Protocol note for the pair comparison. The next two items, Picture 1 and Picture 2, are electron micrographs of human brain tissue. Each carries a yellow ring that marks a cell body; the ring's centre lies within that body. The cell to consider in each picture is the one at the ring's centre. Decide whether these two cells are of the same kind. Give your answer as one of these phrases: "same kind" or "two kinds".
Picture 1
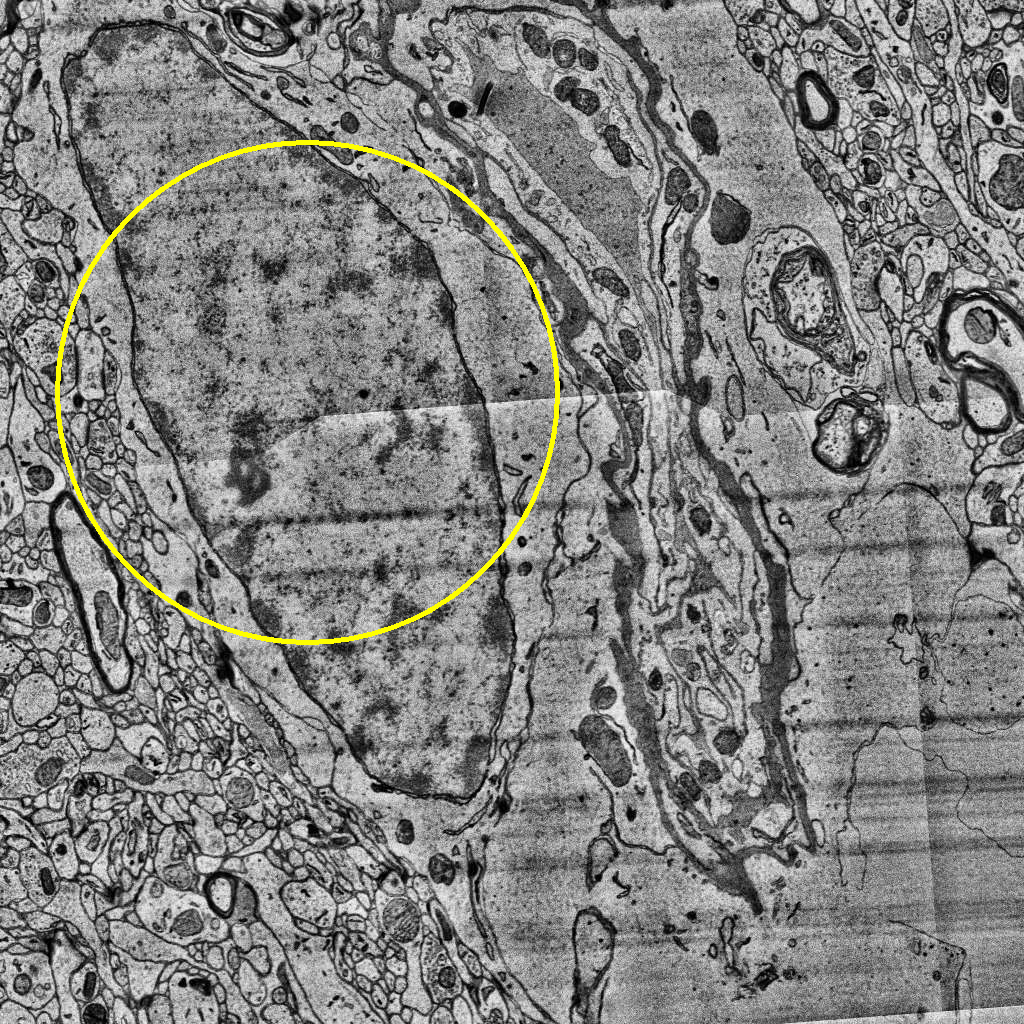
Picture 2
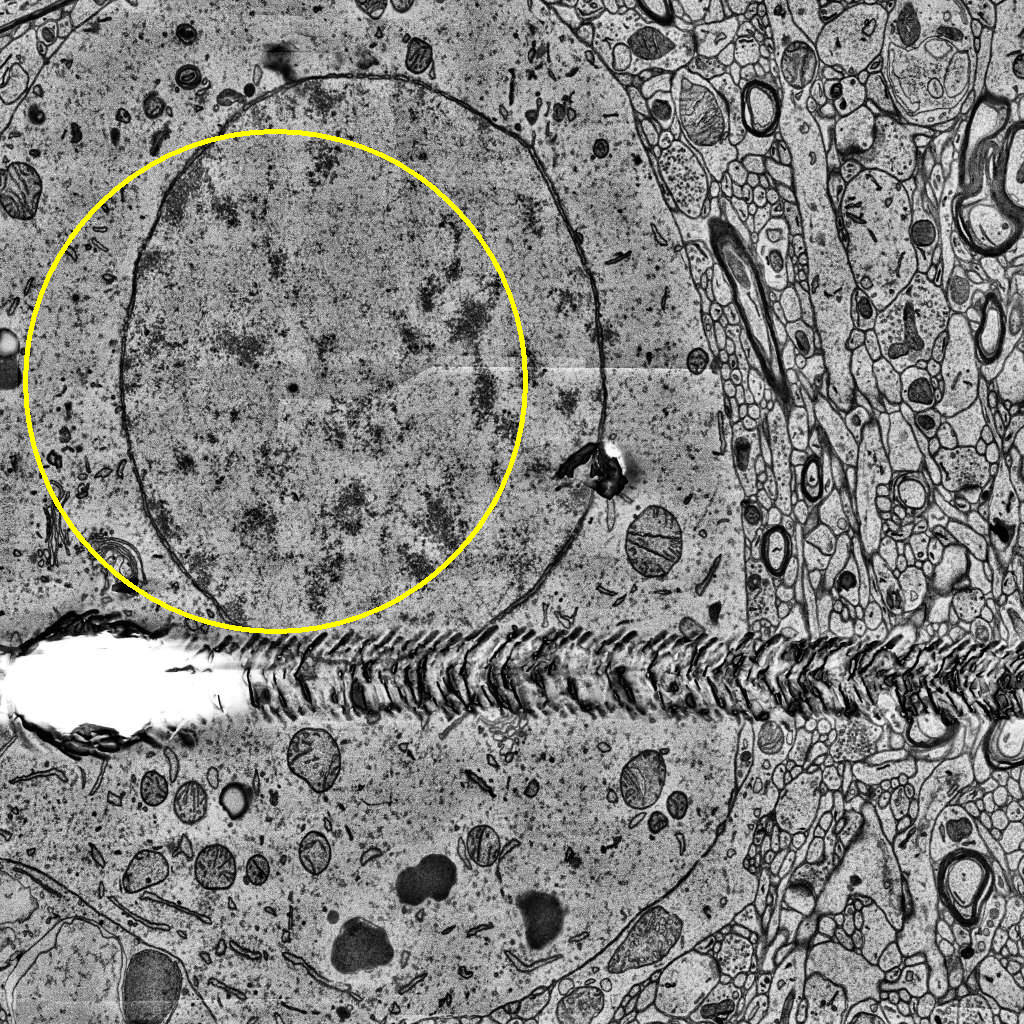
two kinds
